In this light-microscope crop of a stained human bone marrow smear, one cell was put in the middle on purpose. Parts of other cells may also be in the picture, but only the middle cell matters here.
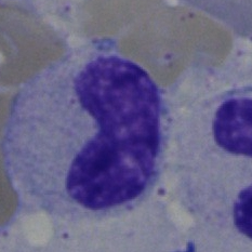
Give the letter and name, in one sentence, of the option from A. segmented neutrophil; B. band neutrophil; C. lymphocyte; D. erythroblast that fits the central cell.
The cell in the middle is a band neutrophil, and that makes option B correct.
